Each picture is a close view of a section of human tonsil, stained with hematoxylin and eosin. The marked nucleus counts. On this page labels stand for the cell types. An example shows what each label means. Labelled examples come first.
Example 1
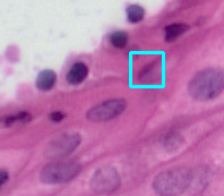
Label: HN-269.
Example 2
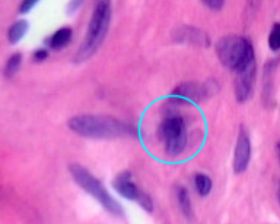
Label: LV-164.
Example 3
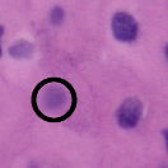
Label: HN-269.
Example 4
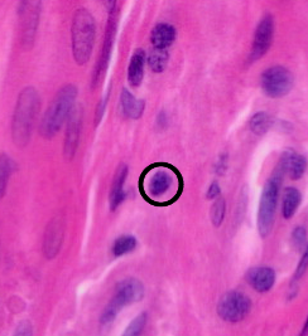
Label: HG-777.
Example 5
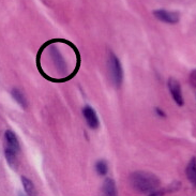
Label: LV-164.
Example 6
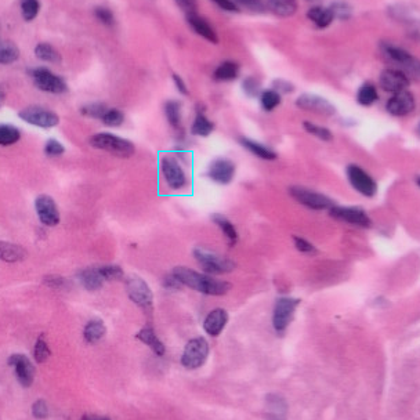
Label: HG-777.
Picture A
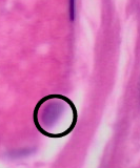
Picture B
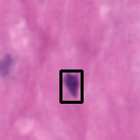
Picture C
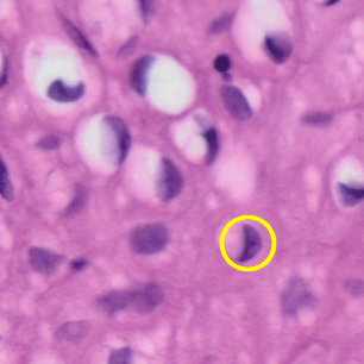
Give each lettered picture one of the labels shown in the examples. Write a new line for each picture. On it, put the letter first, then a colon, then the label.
A: LV-164.
B: HG-777.
C: HN-269.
